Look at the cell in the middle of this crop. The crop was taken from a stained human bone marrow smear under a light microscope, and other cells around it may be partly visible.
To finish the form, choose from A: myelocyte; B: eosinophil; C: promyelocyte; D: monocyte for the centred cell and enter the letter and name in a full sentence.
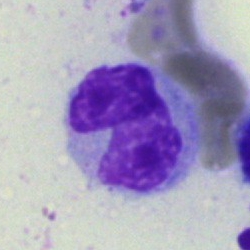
Option D is to be chosen, as the central cell is a monocyte.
